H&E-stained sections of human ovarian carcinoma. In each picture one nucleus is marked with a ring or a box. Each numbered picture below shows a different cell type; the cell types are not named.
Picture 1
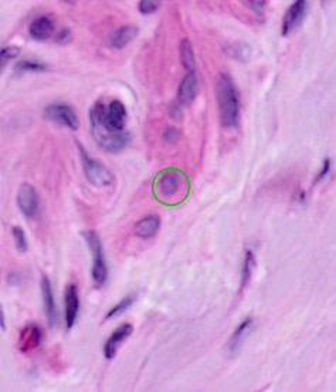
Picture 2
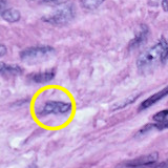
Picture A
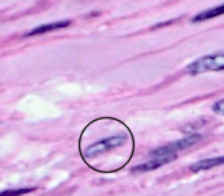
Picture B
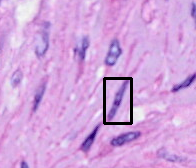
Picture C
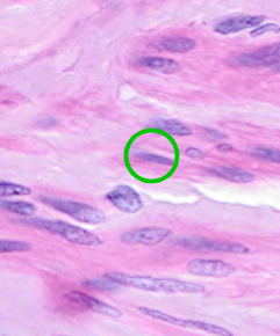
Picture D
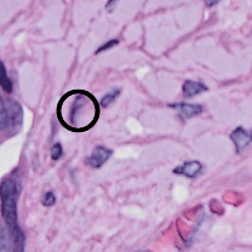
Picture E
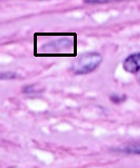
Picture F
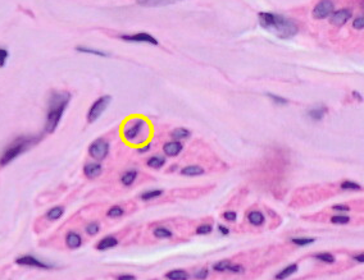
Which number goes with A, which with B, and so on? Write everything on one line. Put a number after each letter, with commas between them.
A 2, B 2, C 1, D 2, E 2, F 1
